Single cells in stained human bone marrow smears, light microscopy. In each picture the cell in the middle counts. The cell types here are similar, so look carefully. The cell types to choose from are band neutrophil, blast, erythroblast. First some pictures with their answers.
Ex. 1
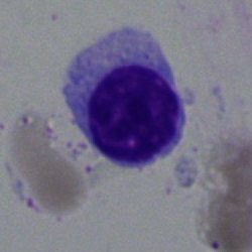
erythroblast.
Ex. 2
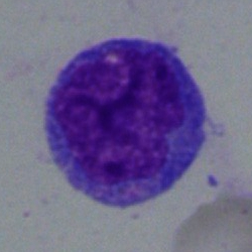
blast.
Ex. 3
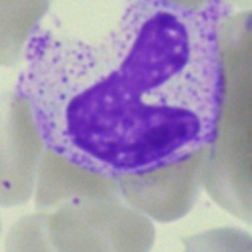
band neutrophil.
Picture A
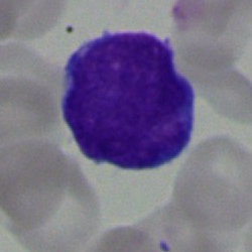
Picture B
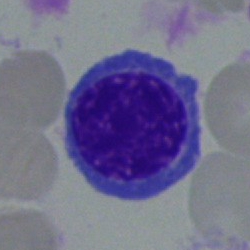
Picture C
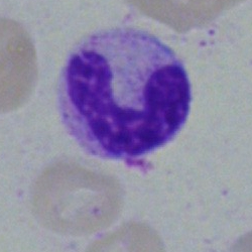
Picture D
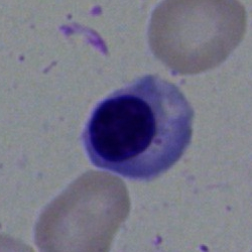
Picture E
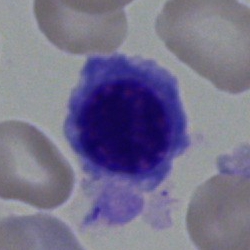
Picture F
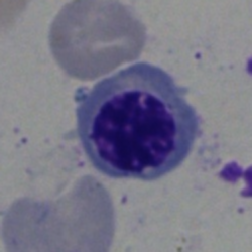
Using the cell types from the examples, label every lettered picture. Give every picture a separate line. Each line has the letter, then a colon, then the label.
A: blast.
B: erythroblast.
C: band neutrophil.
D: erythroblast.
E: erythroblast.
F: erythroblast.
